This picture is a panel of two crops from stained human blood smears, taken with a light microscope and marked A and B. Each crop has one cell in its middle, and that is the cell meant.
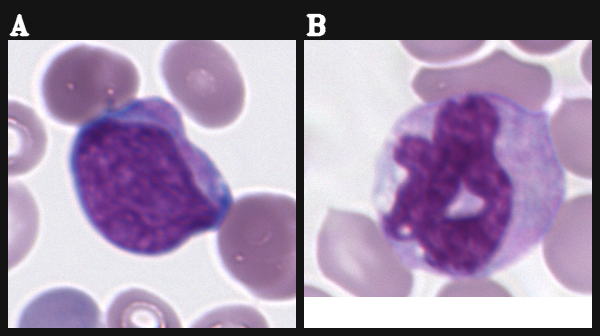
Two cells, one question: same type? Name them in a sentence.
No, crop A contains an atypical promyelocyte, whereas crop B contains a monocyte.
